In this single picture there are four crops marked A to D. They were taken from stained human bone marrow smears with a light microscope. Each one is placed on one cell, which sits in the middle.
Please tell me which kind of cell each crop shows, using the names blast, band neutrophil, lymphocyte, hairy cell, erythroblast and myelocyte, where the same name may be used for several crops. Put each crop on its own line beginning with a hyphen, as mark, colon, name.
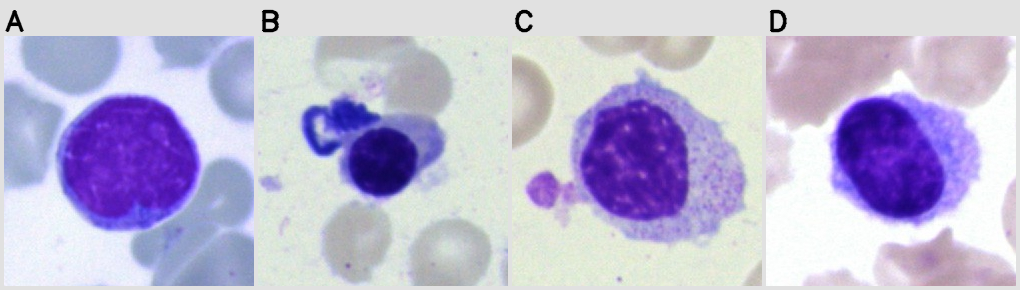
- A: lymphocyte
- B: erythroblast
- C: myelocyte
- D: hairy cell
